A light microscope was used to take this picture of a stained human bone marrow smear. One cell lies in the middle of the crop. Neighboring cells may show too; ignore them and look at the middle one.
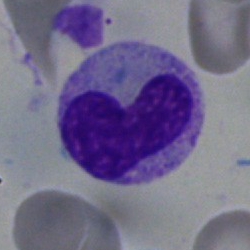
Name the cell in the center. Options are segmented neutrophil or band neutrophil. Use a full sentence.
The middle cell in this particular crop is a band neutrophil.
